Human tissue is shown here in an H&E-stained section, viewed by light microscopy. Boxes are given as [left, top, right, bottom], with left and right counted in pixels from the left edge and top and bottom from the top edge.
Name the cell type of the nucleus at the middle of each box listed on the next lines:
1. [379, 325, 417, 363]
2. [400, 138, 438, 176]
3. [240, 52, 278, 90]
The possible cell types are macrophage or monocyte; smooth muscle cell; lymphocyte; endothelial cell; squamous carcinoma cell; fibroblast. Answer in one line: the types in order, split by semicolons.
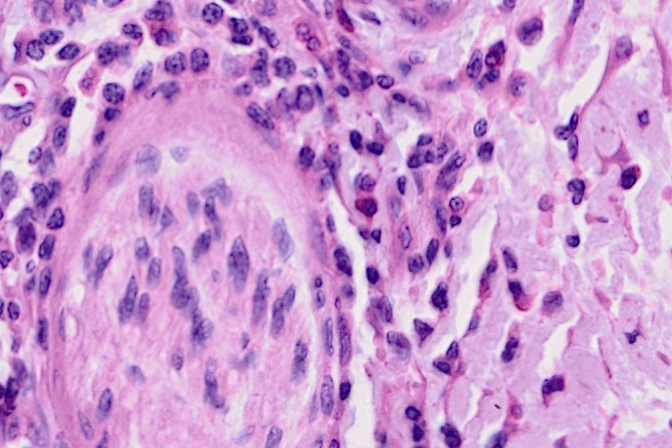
macrophage or monocyte; lymphocyte; lymphocyte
